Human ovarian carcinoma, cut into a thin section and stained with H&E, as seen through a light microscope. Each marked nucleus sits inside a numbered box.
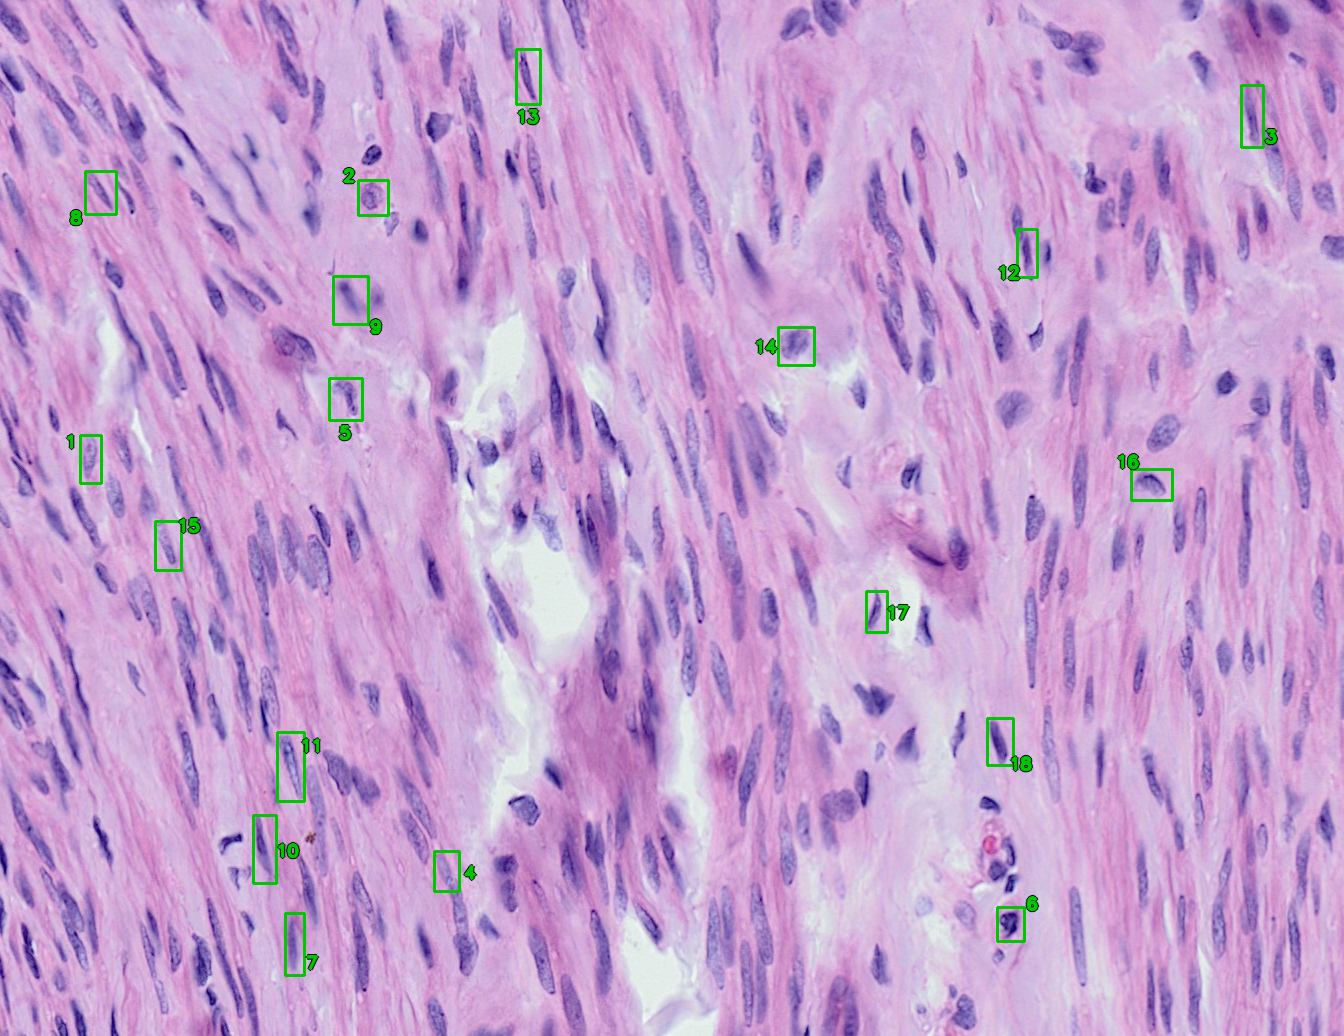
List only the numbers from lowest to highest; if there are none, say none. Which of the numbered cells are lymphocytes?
6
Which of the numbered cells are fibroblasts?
5, 9, 14, 16, 17, 18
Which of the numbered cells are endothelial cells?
2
